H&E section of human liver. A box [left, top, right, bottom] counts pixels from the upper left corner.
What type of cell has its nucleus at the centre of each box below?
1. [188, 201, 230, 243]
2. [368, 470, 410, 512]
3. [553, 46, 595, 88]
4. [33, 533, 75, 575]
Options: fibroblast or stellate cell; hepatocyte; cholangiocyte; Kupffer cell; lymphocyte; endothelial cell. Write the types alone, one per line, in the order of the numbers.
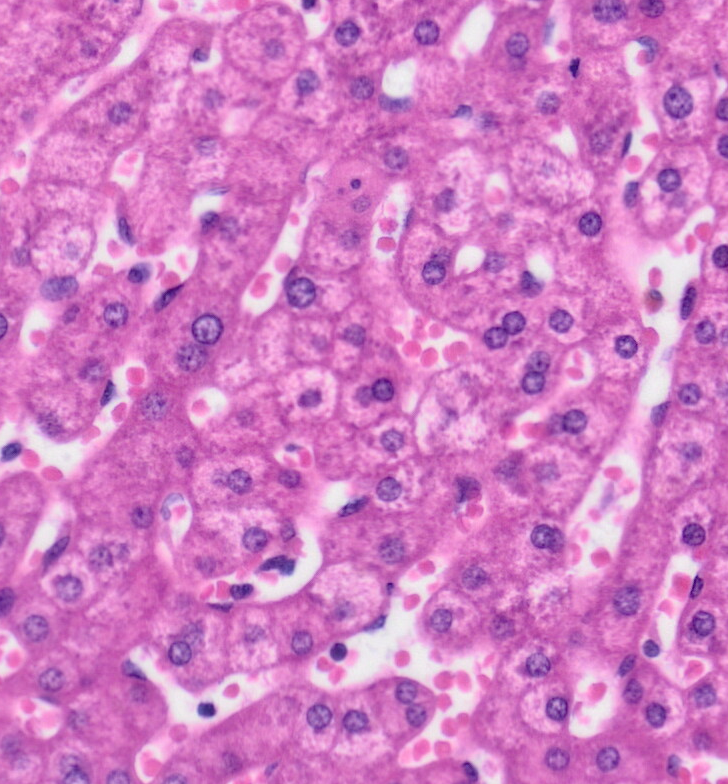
Kupffer cell
hepatocyte
fibroblast or stellate cell
Kupffer cell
